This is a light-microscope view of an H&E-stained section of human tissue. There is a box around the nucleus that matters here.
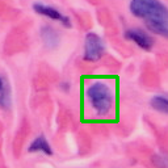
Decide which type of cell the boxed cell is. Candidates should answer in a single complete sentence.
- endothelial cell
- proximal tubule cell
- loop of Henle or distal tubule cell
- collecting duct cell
By cell type, the boxed cell is an endothelial cell.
